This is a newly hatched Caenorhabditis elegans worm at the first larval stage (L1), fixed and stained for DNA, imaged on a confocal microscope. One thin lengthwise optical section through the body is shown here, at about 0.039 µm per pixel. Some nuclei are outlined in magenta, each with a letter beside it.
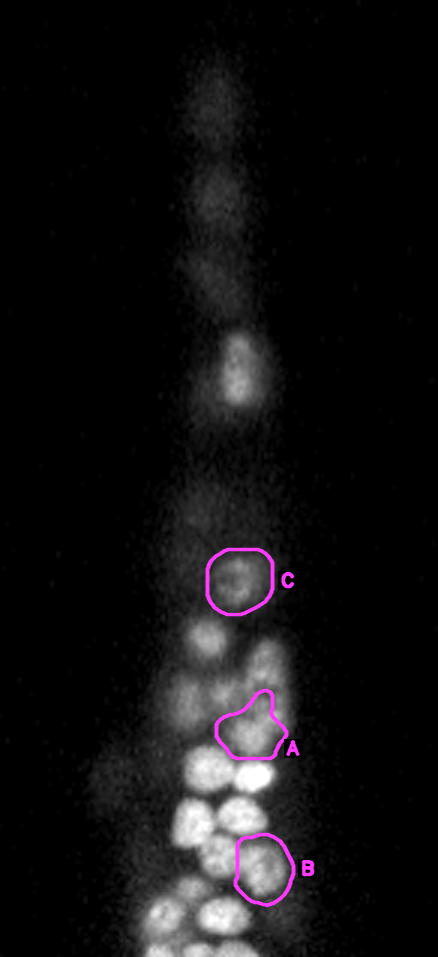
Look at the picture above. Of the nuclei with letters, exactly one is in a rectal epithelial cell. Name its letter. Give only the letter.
B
